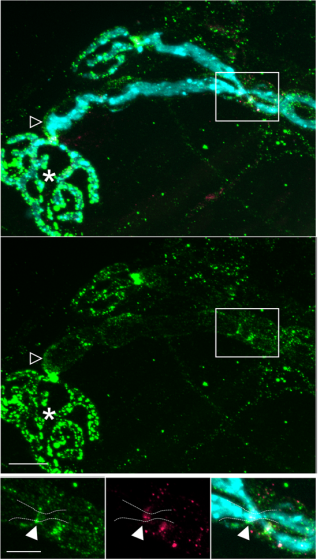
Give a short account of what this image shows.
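A cyan motor nerve fibre runs across the field and ends in a branched, pretzel-like terminal at the left, marked by an asterisk. The terminal is densely covered in green puncta. Finer green puncta are scattered along and around the fibre, and a faint green outline follows its edge near the open arrowhead. A boxed stretch of the fibre is enlarged beneath, where a small red and green spot lies on the axon between dashed border lines.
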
